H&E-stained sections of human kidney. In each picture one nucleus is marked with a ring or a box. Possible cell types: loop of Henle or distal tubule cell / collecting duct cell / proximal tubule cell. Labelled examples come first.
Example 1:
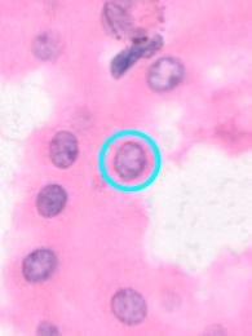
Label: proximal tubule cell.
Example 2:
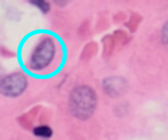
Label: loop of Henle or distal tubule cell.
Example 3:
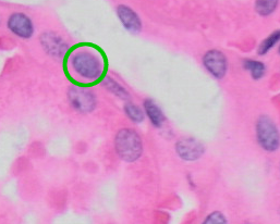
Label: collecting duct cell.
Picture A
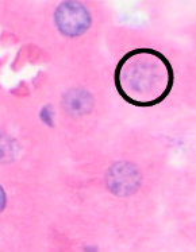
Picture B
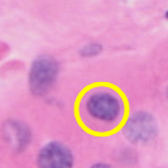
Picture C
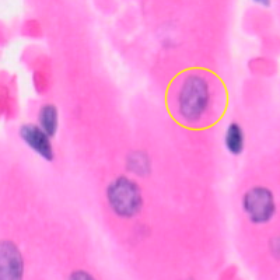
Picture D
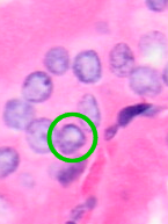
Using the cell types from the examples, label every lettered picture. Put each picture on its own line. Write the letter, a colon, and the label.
A: proximal tubule cell.
B: loop of Henle or distal tubule cell.
C: proximal tubule cell.
D: collecting duct cell.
